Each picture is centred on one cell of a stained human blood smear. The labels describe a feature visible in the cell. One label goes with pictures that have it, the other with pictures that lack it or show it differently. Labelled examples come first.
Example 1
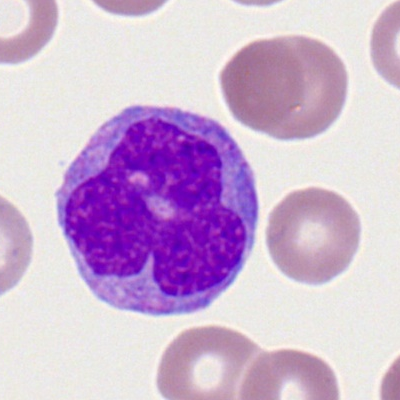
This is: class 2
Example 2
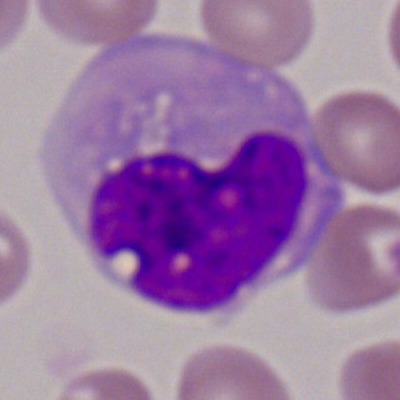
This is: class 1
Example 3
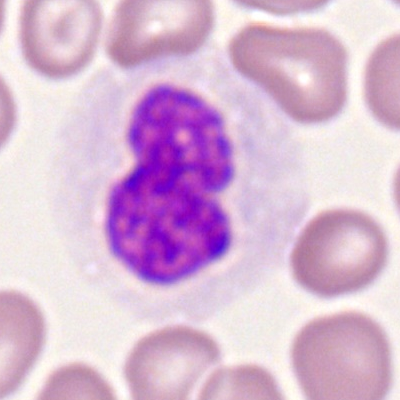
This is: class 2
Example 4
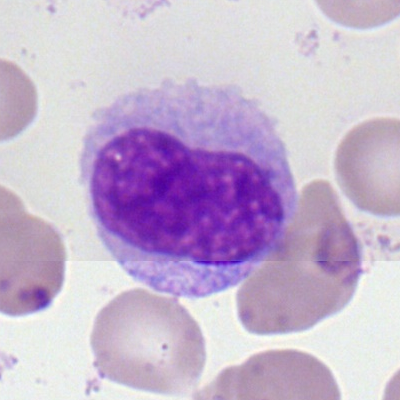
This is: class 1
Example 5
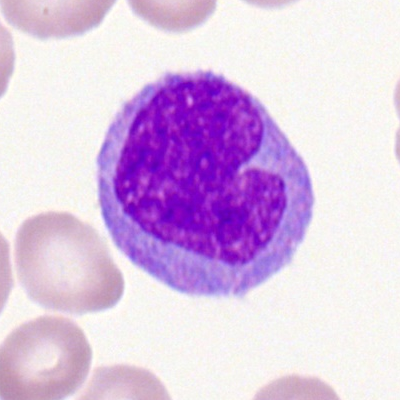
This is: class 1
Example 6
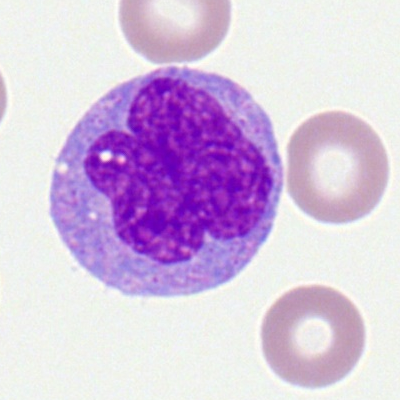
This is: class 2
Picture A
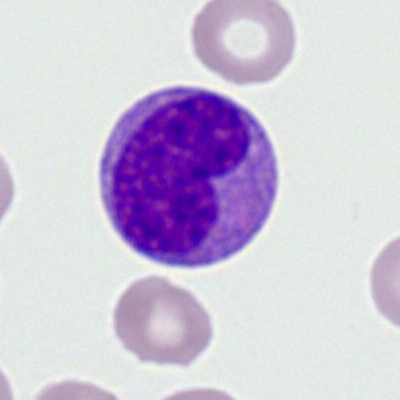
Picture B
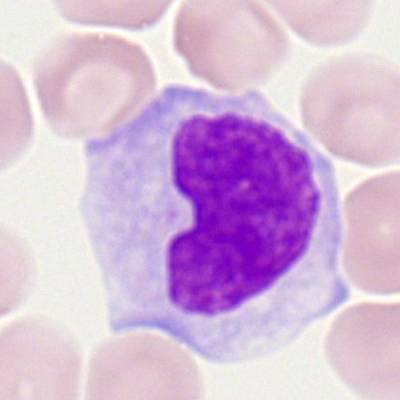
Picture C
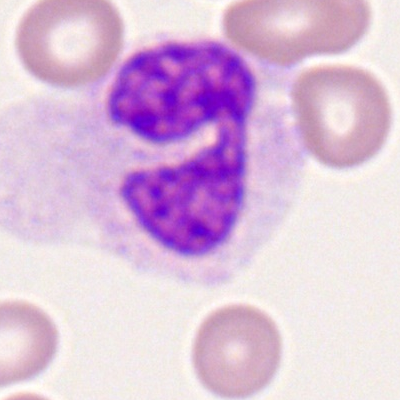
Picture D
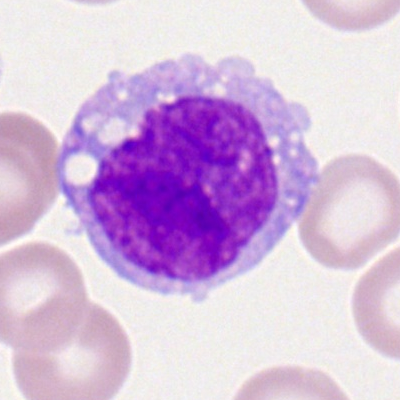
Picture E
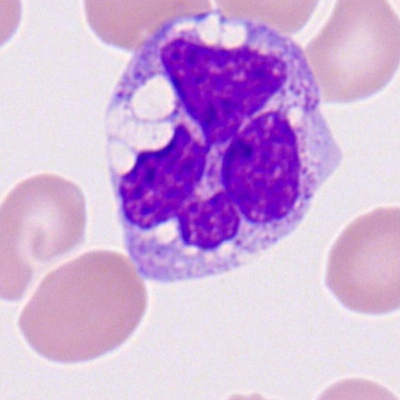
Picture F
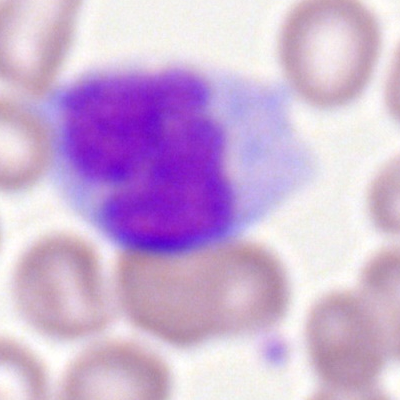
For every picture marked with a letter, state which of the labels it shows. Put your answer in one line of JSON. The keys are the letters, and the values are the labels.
{"A": "class 1", "B": "class 1", "C": "class 2", "D": "class 1", "E": "class 2", "F": "class 2"}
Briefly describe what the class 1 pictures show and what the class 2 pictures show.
Seen in class 1: single compact nucleus; seen in class 2: lobed nucleus.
